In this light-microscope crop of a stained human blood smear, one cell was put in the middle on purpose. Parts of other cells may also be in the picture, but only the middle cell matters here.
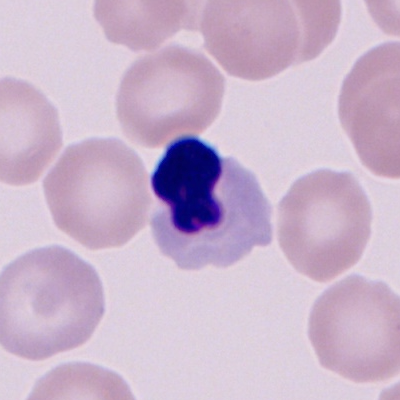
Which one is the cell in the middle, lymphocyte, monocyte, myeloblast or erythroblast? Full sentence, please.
Looking at the middle of the crop, the cell there is an erythroblast.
